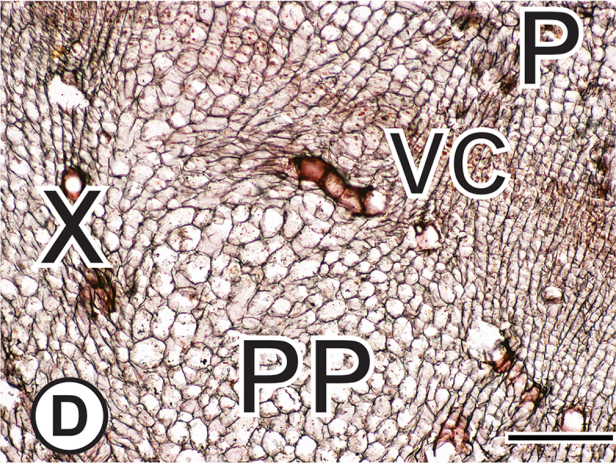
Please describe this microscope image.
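Here we look at tissue near the main vascular cambium, where proliferating parenchyma has pushed in among the conducting cells. The cambial region shows long rows of narrow, flattened cells running in curving bands across the field. Between them lie a few wide, reddish-stained vessel elements, scattered and tilted rather than lined up in one direction. The parenchyma cells beside these vessels look sheared and pulled out of shape instead of being neatly rounded.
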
